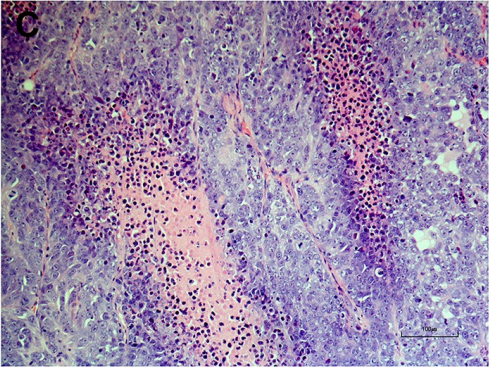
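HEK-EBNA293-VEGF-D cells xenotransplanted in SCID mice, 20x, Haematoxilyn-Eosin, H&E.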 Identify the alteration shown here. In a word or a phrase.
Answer: Necrosis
